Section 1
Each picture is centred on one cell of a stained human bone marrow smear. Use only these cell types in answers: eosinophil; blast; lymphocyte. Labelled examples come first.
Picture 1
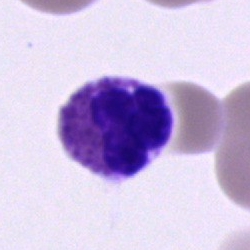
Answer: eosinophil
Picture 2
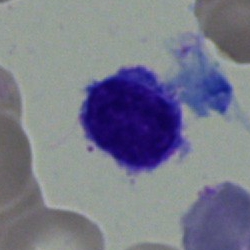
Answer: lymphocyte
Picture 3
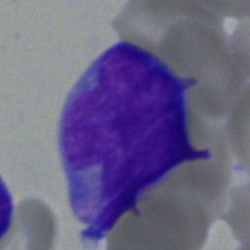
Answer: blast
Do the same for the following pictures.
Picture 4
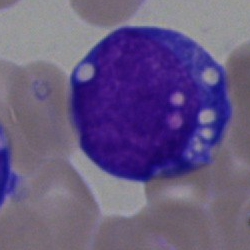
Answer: blast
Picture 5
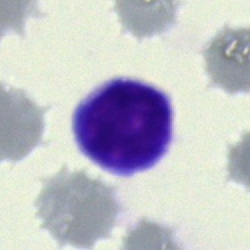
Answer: lymphocyte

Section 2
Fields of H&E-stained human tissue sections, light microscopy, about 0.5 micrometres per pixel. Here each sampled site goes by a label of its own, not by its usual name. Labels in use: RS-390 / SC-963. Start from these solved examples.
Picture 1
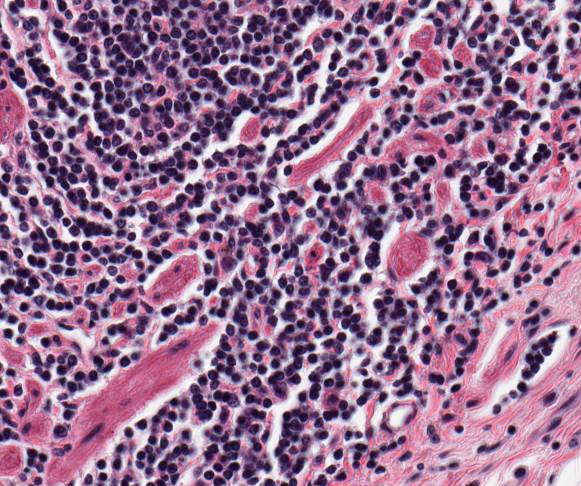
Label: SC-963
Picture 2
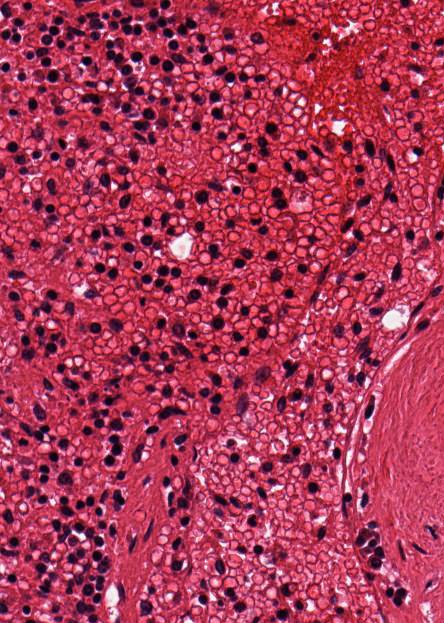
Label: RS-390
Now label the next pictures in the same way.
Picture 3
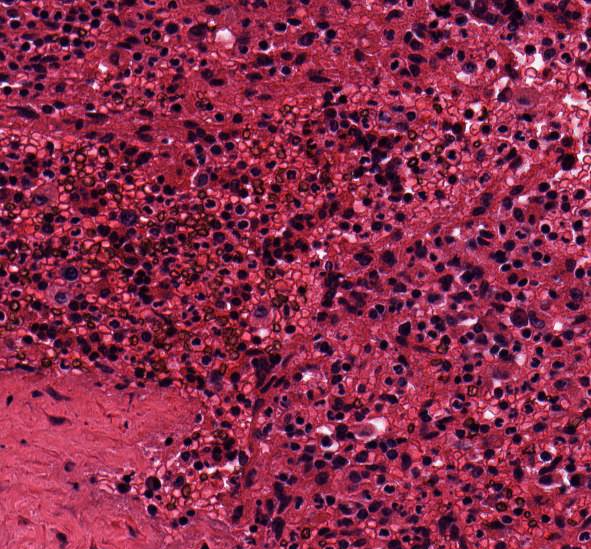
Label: RS-390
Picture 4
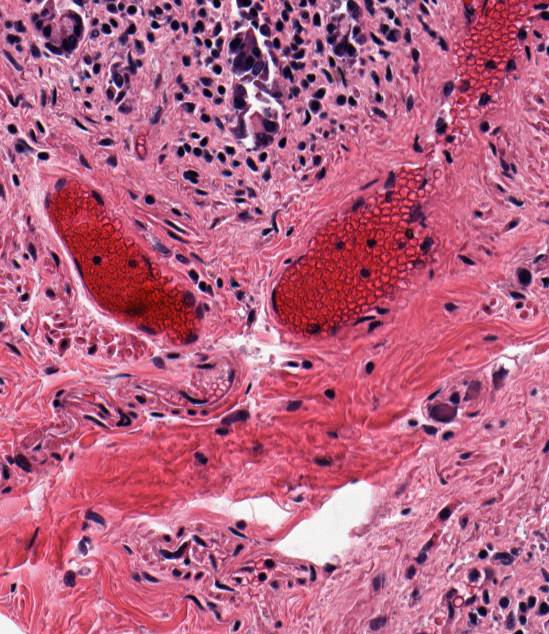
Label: SC-963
